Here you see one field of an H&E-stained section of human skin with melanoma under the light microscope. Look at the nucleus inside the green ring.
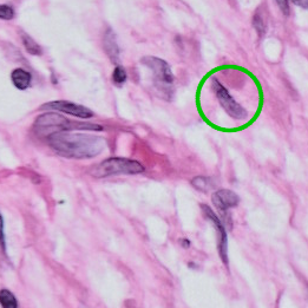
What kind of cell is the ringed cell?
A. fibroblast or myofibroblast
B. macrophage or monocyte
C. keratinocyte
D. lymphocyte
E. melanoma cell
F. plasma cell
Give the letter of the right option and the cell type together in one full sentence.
The right pick is option B; the ringed cell is a macrophage or monocyte.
